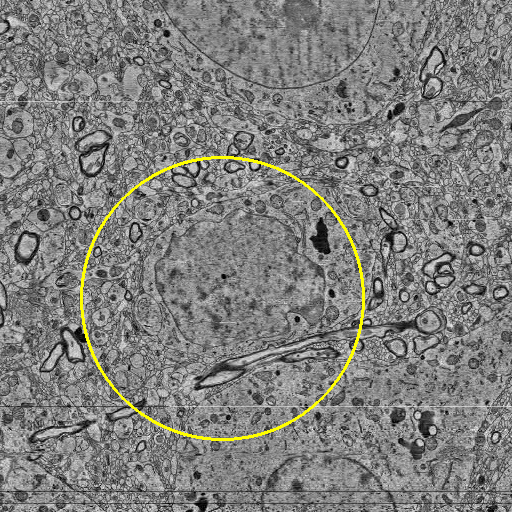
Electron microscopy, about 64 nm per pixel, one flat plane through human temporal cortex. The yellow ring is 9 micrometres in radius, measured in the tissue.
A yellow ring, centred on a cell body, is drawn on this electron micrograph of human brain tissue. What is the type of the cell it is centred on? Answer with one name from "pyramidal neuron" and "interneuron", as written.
interneuron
